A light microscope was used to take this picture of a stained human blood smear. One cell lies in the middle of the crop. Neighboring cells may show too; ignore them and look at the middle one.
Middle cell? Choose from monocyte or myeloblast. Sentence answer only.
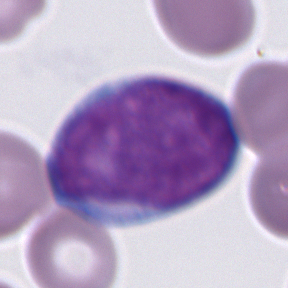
Framed in the middle of the crop is a myeloblast.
